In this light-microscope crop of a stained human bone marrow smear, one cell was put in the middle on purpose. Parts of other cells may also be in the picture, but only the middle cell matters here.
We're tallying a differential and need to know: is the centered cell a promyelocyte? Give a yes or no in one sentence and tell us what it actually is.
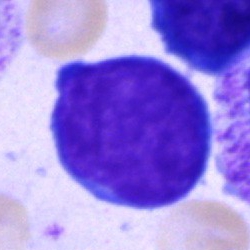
No, the middle of this crop is occupied by a proerythroblast rather than a promyelocyte.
